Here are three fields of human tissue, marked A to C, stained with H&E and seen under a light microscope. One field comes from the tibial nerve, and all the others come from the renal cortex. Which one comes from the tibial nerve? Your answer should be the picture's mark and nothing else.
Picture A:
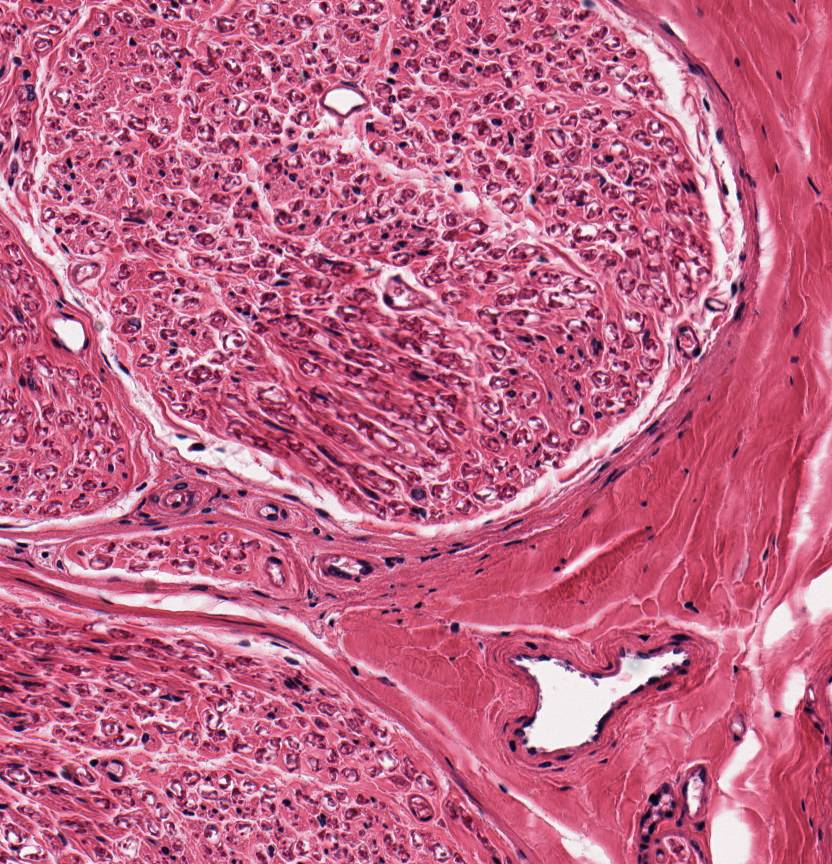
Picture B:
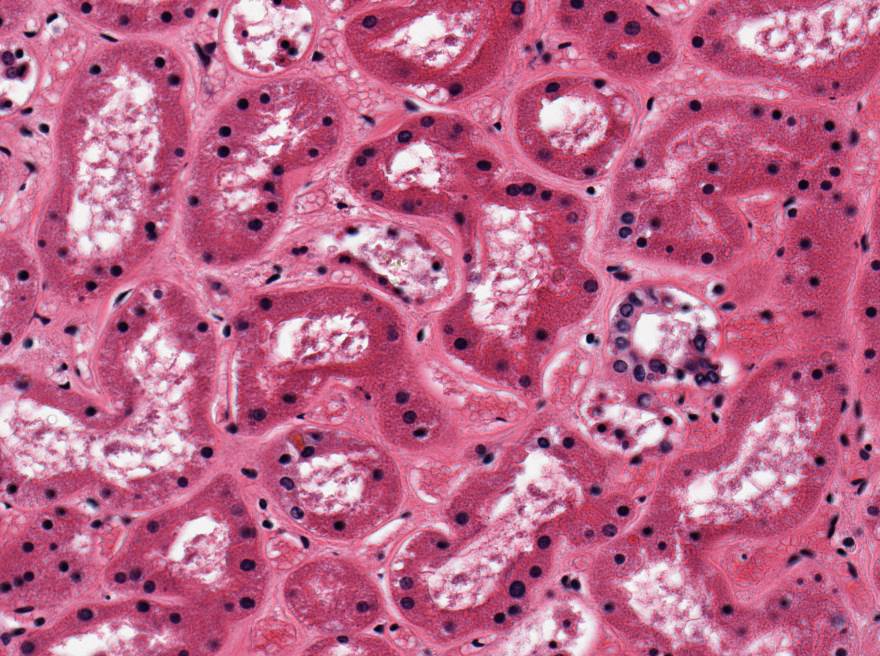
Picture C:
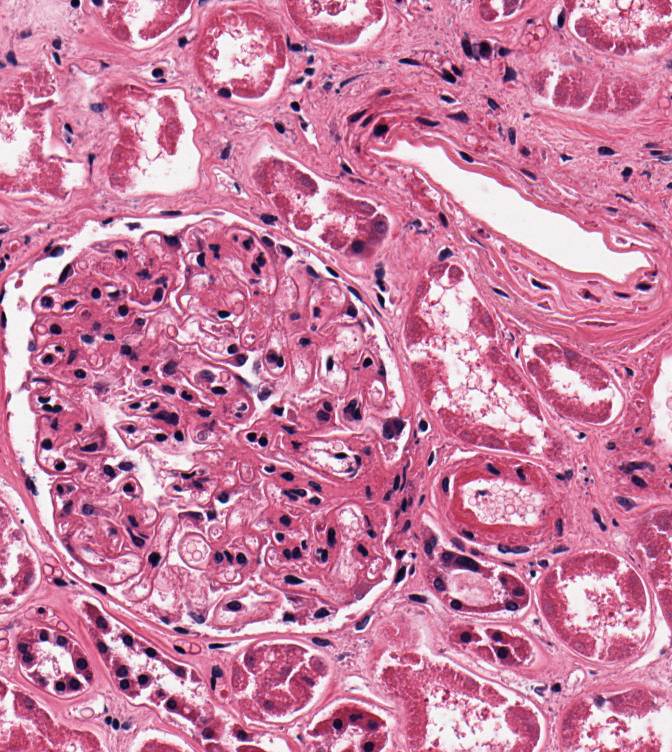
A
